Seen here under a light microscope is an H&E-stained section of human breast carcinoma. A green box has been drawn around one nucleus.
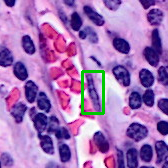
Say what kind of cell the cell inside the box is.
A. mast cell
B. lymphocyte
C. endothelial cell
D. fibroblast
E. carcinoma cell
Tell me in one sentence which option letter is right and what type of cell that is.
In this section the cell inside the box is an endothelial cell; option C is therefore correct.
